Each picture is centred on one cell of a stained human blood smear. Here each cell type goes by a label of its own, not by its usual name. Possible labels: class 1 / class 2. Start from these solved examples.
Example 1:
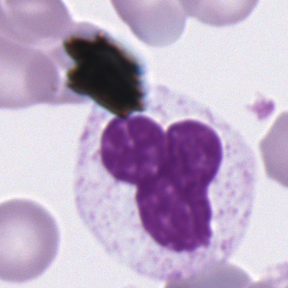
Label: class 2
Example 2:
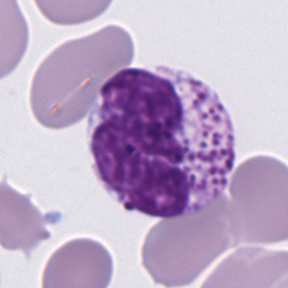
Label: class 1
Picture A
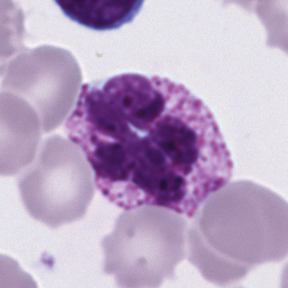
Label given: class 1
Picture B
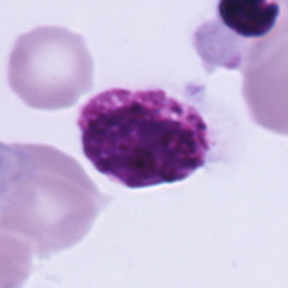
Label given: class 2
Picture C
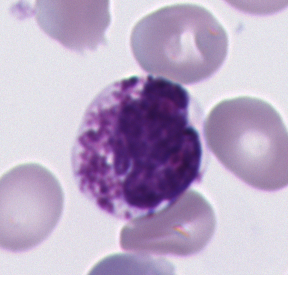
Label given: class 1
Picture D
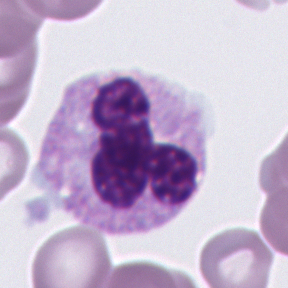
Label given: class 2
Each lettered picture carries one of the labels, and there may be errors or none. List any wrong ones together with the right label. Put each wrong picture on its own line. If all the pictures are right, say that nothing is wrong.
B is labelled class 2; correct label: class 1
